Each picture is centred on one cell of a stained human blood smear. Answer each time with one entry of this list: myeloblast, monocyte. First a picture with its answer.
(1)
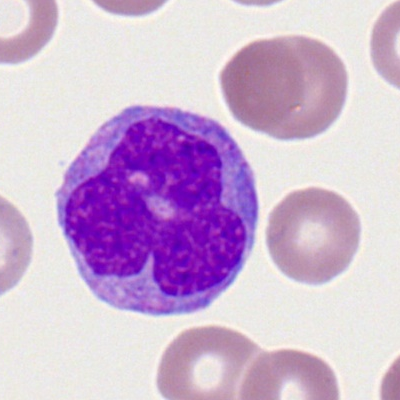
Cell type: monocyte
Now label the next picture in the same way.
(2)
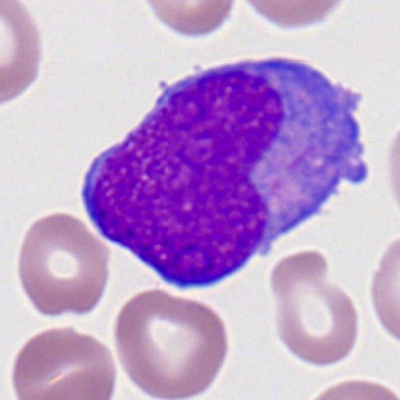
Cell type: myeloblast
